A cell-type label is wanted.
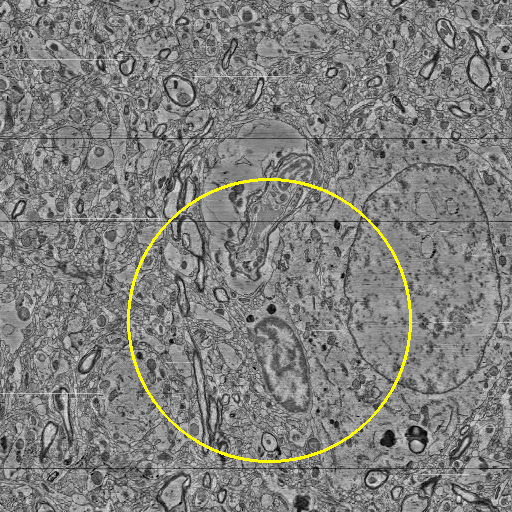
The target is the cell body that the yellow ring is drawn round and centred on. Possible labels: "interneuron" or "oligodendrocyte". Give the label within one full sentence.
Of the labels offered, the cell in the middle of the yellow ring is an oligodendrocyte.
